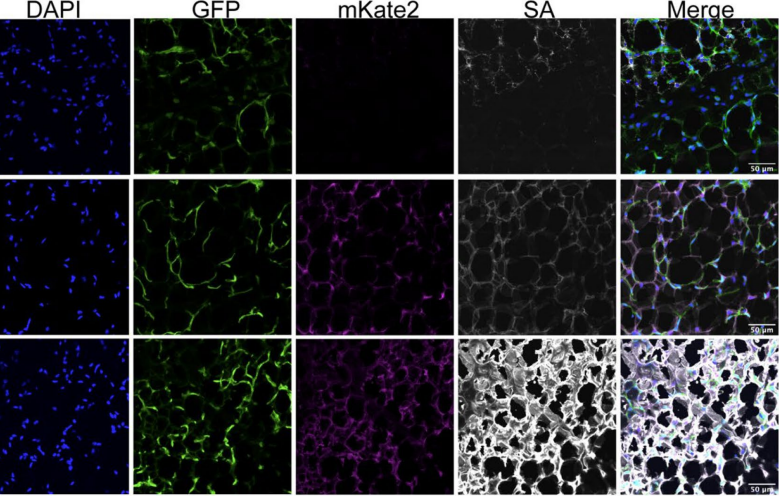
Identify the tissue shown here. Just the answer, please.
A: Adipose tissue.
